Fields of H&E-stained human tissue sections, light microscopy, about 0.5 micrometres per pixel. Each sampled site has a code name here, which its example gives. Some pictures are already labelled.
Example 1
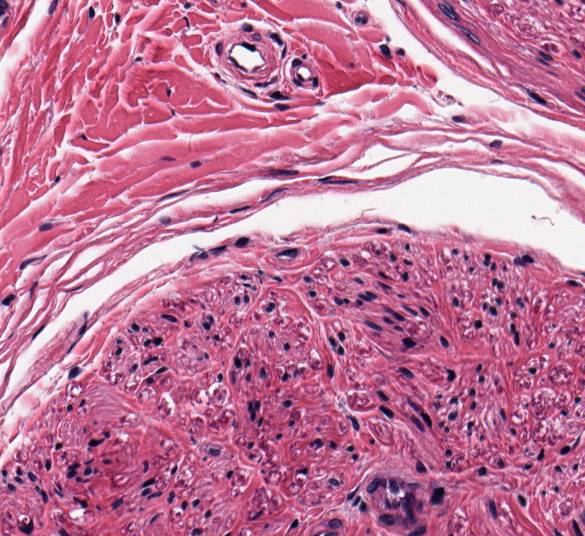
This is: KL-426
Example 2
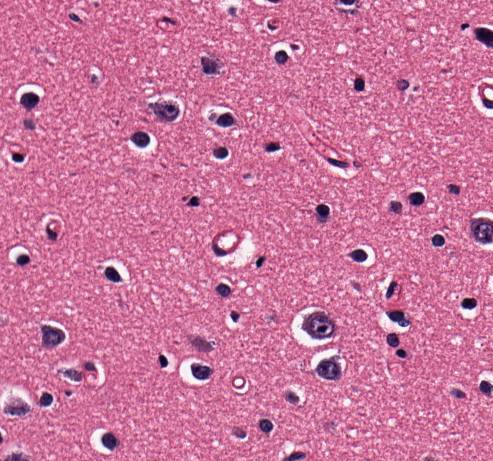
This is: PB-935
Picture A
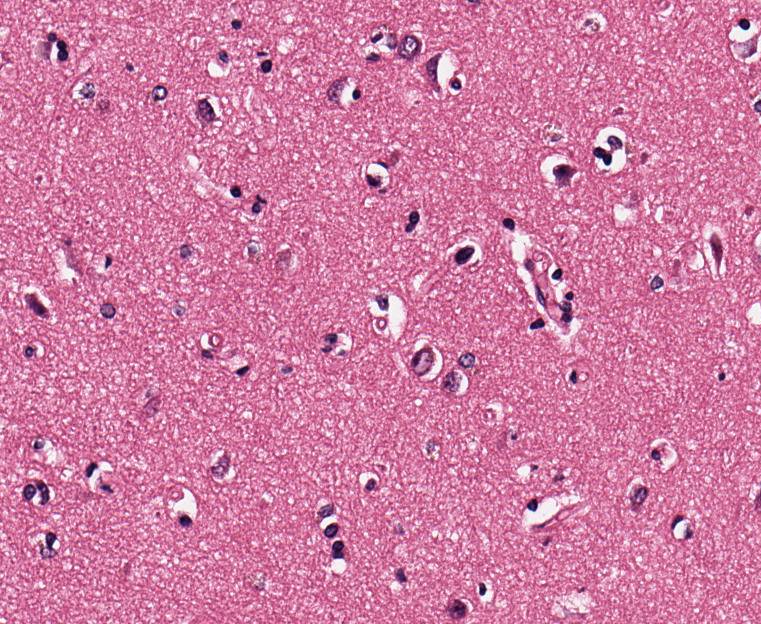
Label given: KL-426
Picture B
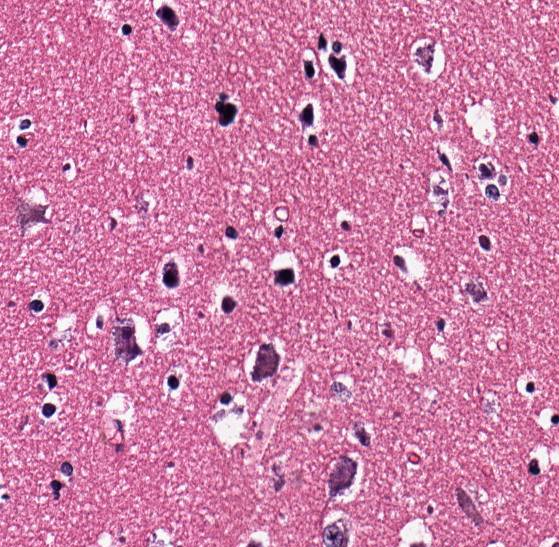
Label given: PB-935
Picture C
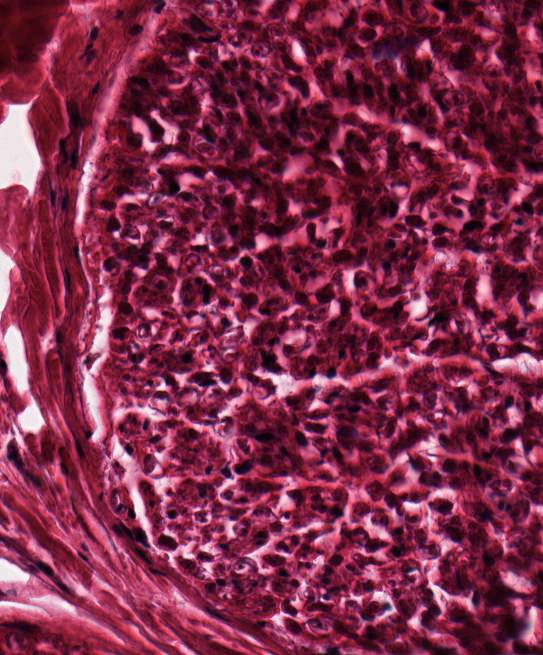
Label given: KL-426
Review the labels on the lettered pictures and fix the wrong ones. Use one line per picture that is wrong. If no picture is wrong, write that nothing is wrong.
A should be PB-935, not KL-426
